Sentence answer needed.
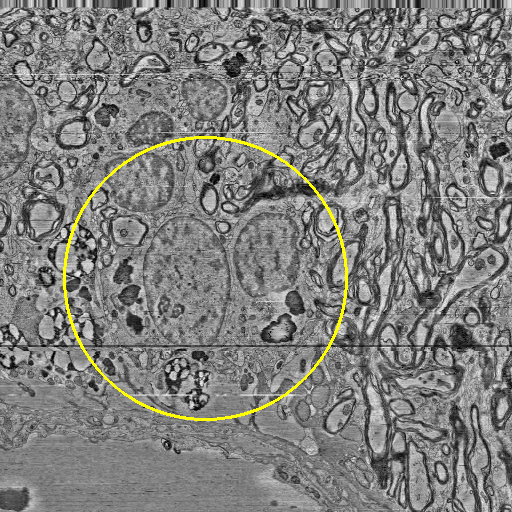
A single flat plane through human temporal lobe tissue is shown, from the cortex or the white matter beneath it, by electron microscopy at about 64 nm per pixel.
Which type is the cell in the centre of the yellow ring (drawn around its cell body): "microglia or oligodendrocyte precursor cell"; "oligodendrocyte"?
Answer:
In the centre of the yellow ring is an oligodendrocyte.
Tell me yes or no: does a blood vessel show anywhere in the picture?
Yes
